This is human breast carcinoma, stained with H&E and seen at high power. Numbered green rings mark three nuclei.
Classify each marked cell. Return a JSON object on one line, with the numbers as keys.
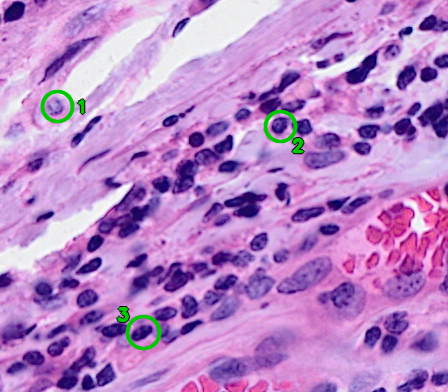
{"1": "mast cell", "2": "lymphocyte", "3": "lymphocyte"}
